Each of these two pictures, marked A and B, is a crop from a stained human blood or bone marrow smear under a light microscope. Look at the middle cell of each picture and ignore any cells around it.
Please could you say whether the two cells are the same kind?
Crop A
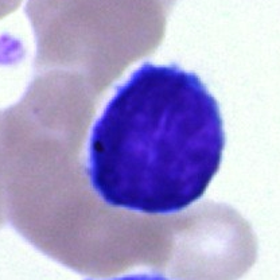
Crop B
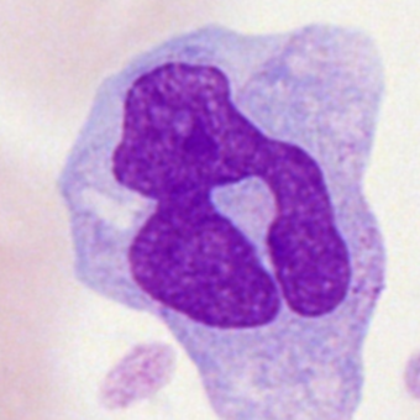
no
